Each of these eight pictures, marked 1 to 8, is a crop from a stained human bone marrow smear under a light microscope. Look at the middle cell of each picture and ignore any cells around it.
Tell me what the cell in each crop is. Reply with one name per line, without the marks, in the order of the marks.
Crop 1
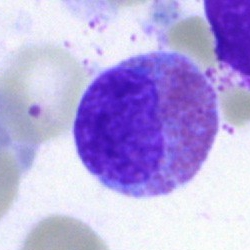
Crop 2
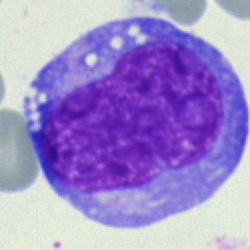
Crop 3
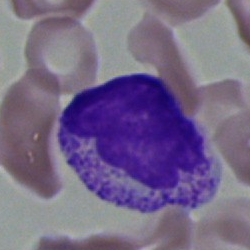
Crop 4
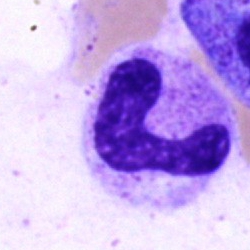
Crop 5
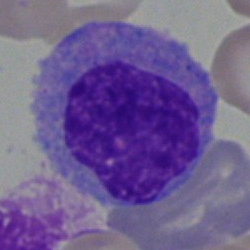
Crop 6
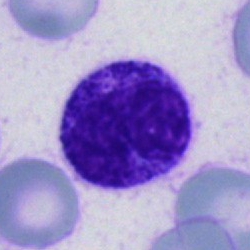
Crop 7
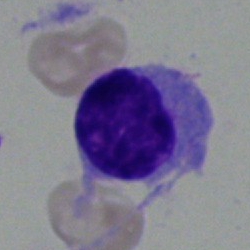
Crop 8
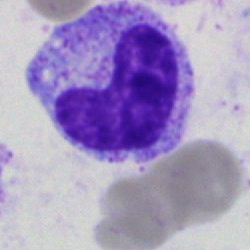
eosinophil
blast
myelocyte
band neutrophil
monocyte
basophil
hairy cell
metamyelocyte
